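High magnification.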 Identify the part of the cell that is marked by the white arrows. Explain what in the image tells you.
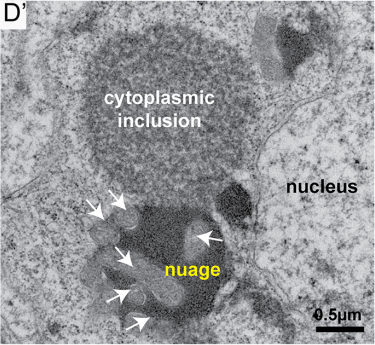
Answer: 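Small oval membrane-bound organelles with cristae border the dense mass.
Conclusion: mitochondria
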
